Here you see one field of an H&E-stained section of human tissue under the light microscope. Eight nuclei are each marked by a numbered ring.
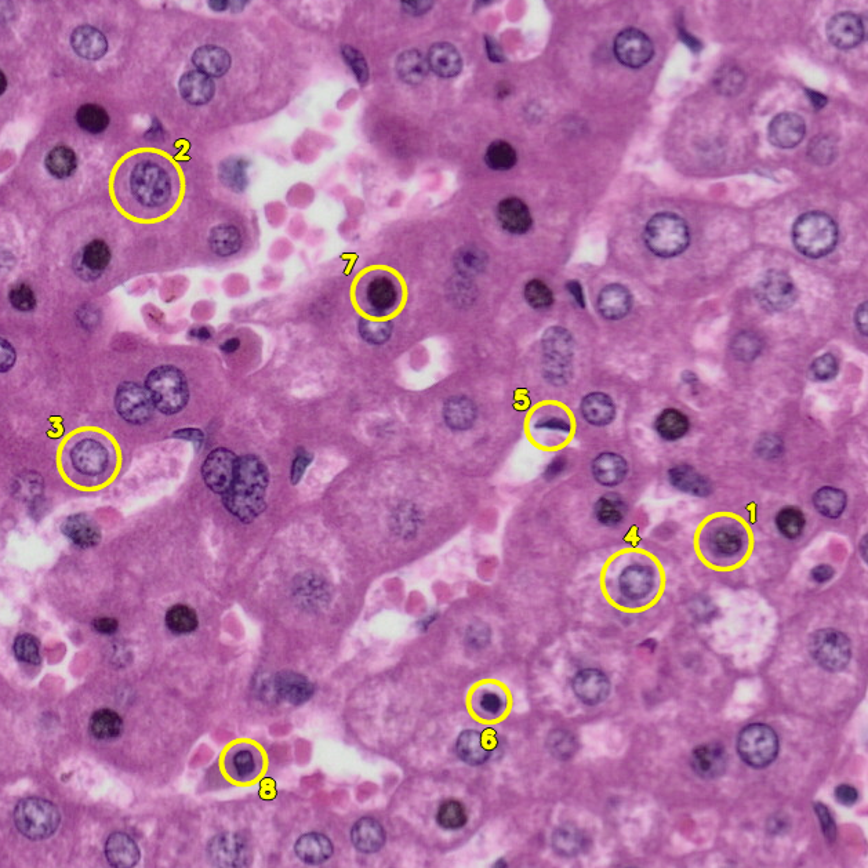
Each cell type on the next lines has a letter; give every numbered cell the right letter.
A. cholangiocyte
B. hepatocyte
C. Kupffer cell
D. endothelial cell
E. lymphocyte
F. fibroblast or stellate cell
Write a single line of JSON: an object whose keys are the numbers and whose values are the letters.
{"1": "B", "2": "B", "3": "B", "4": "B", "5": "D", "6": "E", "7": "B", "8": "C"}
